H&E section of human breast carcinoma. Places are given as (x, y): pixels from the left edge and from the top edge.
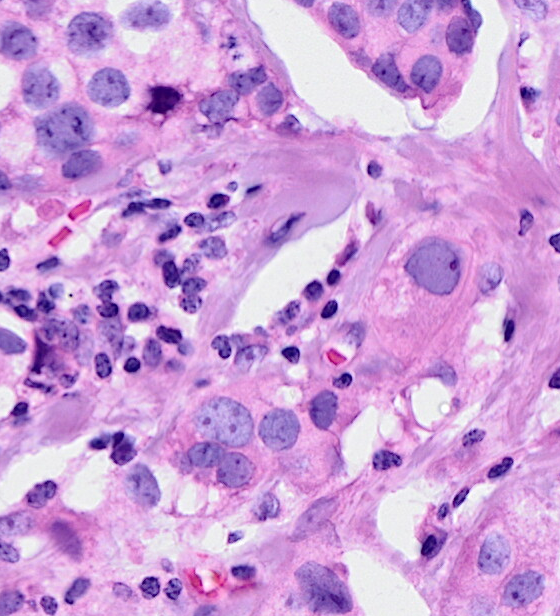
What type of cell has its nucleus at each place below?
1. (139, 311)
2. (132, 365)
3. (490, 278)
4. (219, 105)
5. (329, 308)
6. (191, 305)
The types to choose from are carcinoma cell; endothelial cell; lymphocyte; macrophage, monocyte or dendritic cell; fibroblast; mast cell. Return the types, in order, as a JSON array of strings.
["lymphocyte", "lymphocyte", "fibroblast", "carcinoma cell", "lymphocyte", "lymphocyte"]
